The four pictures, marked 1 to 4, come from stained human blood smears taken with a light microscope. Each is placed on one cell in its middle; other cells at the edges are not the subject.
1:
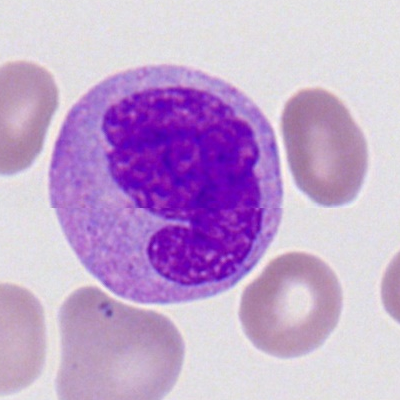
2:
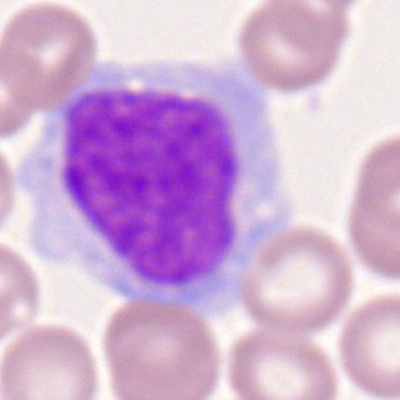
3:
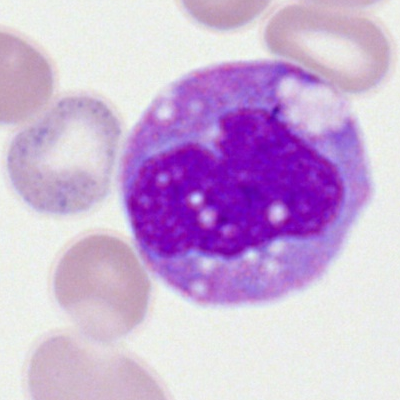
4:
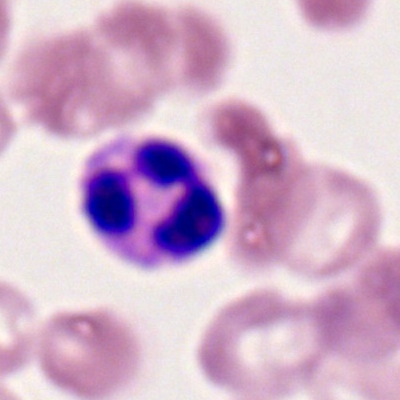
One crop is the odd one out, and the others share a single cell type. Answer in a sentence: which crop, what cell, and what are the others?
Crop 4 does not fit, being a segmented neutrophil where all the others show monocytes.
